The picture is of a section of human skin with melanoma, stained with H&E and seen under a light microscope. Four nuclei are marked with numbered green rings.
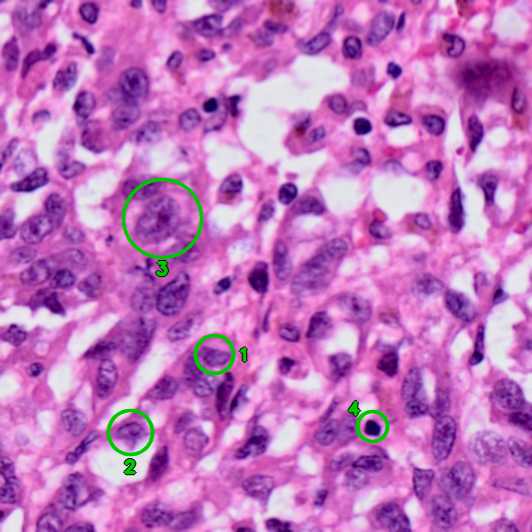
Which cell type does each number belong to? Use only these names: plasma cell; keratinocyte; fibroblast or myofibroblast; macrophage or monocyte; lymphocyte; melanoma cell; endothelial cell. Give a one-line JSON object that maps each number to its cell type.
{"1": "melanoma cell", "2": "melanoma cell", "3": "melanoma cell", "4": "lymphocyte"}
